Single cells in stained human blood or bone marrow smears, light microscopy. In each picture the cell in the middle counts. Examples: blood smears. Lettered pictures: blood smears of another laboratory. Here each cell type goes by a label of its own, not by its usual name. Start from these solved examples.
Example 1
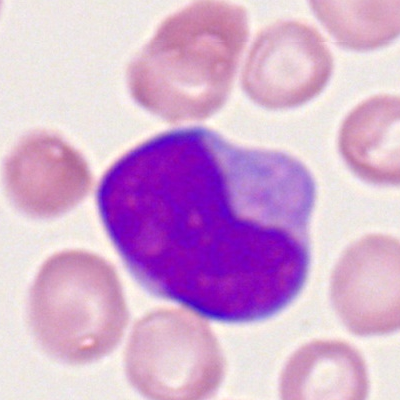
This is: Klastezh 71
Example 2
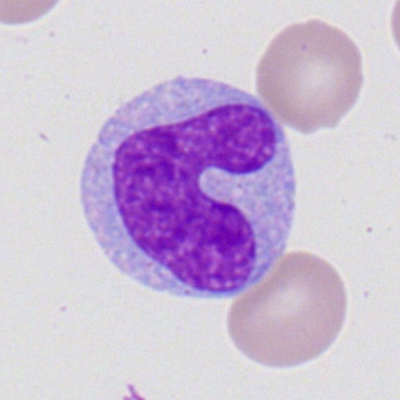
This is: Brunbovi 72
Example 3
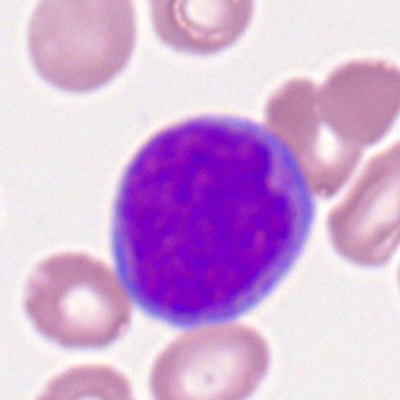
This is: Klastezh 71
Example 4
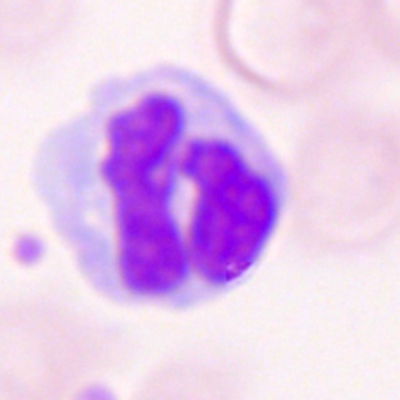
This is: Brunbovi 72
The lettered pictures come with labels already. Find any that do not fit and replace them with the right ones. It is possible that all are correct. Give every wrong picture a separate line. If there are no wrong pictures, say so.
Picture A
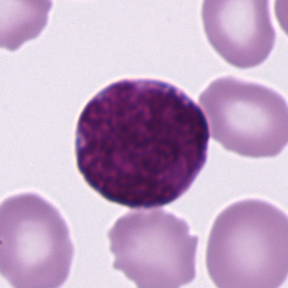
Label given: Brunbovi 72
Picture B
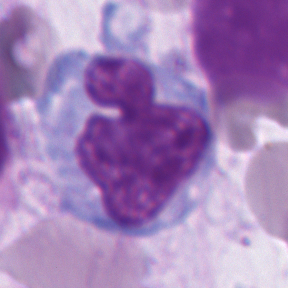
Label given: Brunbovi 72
A: not Brunbovi 72 but Klastezh 71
